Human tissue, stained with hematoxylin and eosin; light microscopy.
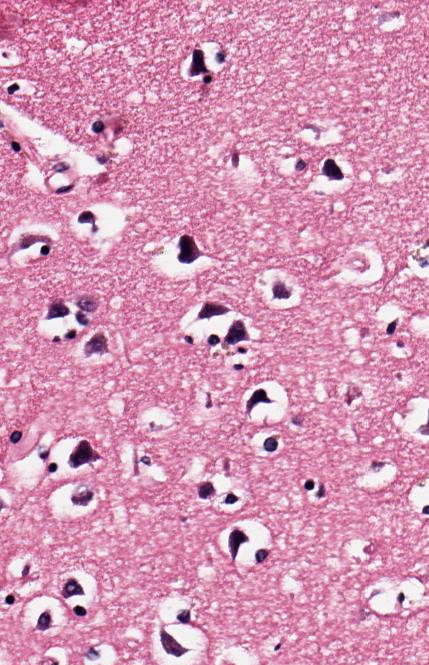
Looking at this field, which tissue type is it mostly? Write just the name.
cerebral cortex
